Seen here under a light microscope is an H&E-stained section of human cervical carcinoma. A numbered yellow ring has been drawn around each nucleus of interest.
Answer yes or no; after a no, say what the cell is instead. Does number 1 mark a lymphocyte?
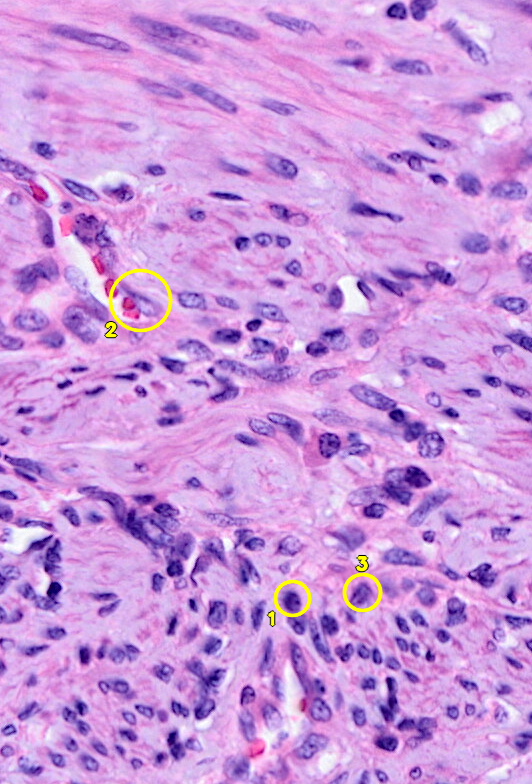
Yes.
